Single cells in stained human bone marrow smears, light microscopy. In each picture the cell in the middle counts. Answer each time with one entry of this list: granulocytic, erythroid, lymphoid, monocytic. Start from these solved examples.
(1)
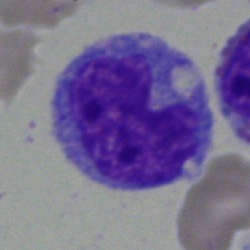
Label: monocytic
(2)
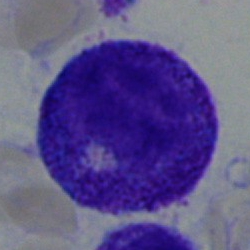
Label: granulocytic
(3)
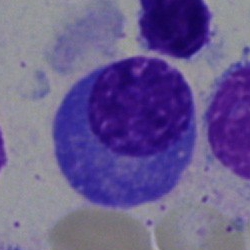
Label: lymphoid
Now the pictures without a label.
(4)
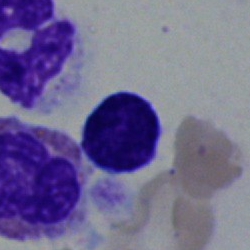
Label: lymphoid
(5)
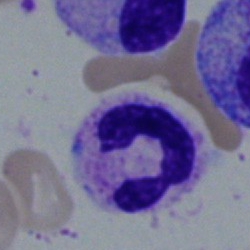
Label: granulocytic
